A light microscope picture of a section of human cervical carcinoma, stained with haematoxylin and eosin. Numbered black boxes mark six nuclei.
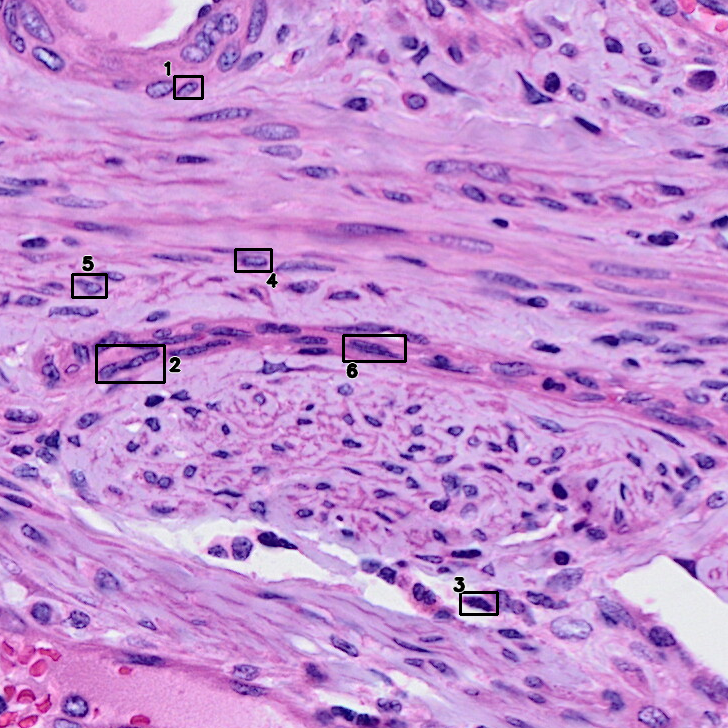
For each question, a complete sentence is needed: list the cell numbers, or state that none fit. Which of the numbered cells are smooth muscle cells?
The cells tagged with numbers 1, 4 and 5 are smooth muscle cells.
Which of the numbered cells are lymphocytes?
Cell 3, and no other numbered cell, is a lymphocyte.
